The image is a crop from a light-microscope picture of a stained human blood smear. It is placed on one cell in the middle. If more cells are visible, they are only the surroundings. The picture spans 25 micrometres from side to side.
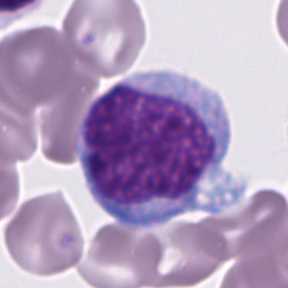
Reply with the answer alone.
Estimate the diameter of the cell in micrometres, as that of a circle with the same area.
14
